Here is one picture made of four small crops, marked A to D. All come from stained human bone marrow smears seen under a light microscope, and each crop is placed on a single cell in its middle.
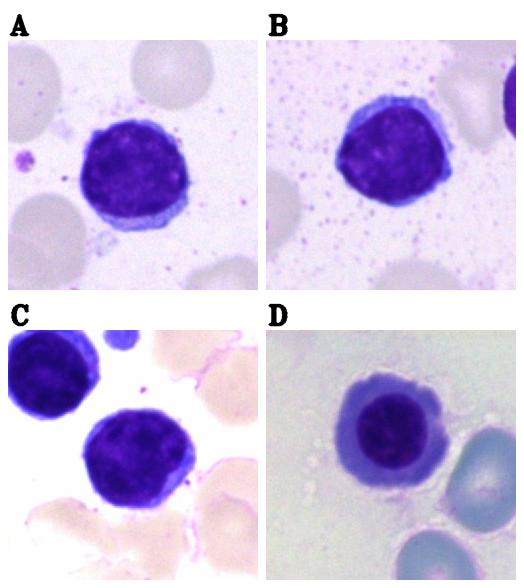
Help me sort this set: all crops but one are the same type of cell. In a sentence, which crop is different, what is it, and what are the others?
The set is made up of lymphocytes, with the single exception of crop D, which is a normoblast.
